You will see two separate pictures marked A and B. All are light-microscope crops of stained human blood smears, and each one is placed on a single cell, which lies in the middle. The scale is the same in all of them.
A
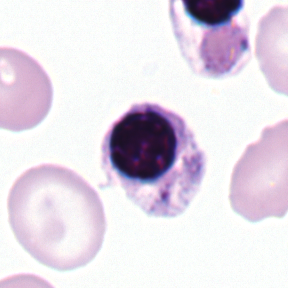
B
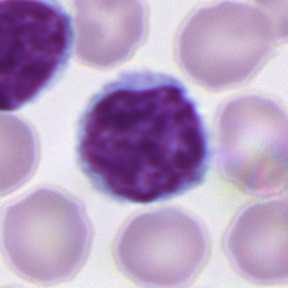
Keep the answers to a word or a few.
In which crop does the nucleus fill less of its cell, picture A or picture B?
A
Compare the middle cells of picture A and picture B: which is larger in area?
B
